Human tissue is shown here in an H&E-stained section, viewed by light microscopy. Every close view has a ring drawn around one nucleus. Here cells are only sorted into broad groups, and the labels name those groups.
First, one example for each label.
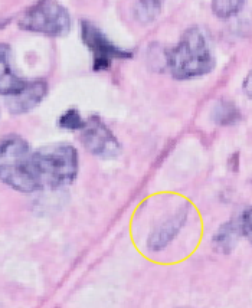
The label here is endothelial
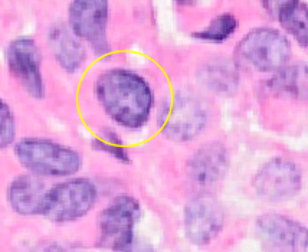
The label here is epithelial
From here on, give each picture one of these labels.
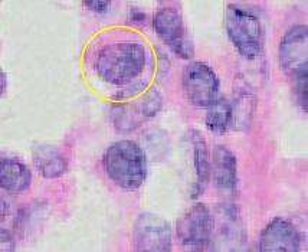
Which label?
epithelial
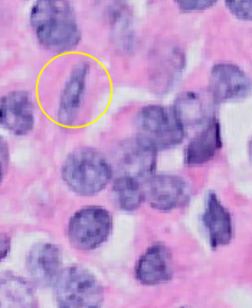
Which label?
endothelial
